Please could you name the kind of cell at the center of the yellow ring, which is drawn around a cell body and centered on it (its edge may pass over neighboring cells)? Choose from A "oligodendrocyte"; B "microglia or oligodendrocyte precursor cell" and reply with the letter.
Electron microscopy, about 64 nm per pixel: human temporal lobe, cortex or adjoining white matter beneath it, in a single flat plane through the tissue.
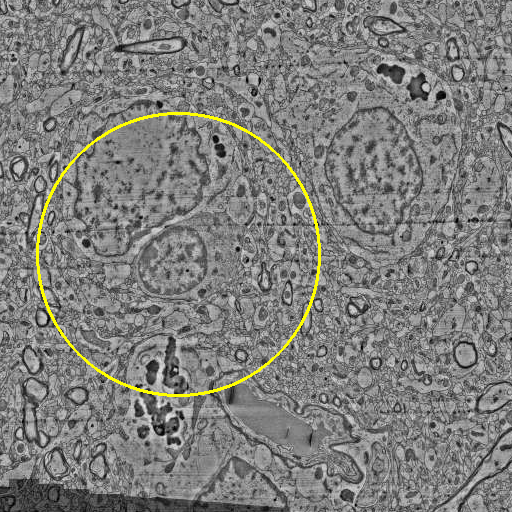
A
